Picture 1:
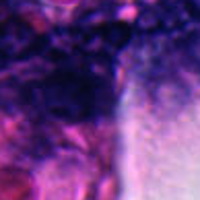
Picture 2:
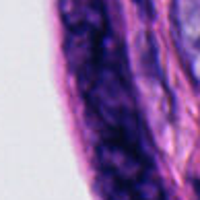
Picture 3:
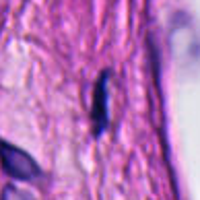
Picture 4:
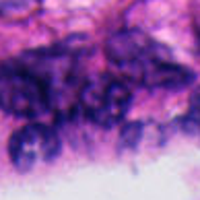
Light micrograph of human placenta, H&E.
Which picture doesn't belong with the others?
Picture 3.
